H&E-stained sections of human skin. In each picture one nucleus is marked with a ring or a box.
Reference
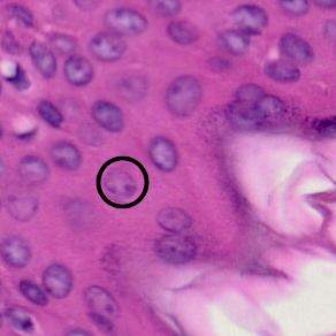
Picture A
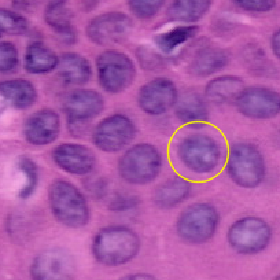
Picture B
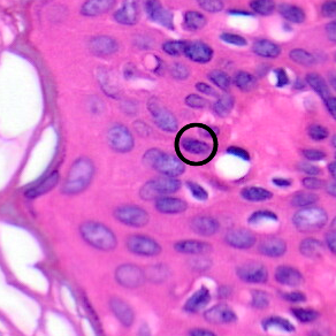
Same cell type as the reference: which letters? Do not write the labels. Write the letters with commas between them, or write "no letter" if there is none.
A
